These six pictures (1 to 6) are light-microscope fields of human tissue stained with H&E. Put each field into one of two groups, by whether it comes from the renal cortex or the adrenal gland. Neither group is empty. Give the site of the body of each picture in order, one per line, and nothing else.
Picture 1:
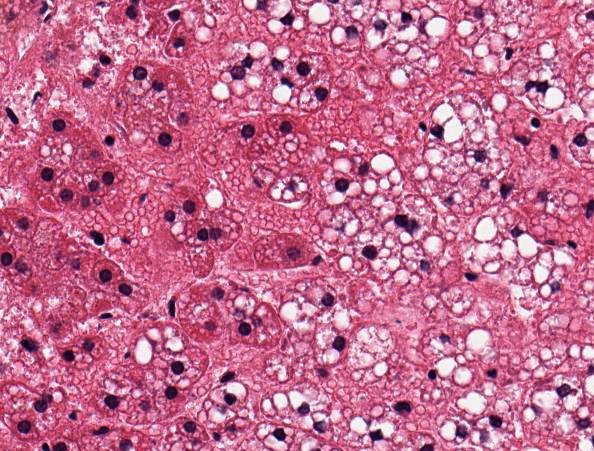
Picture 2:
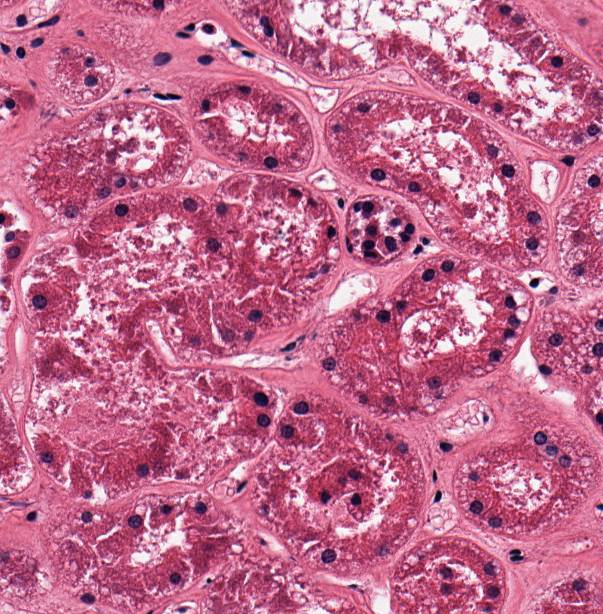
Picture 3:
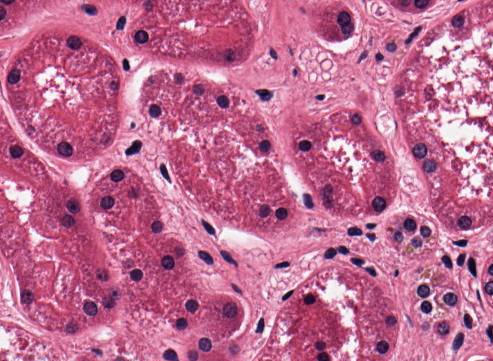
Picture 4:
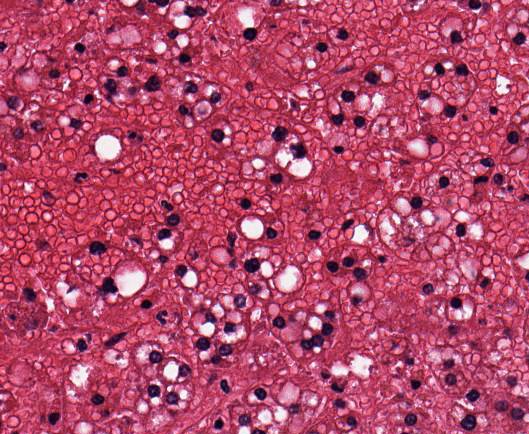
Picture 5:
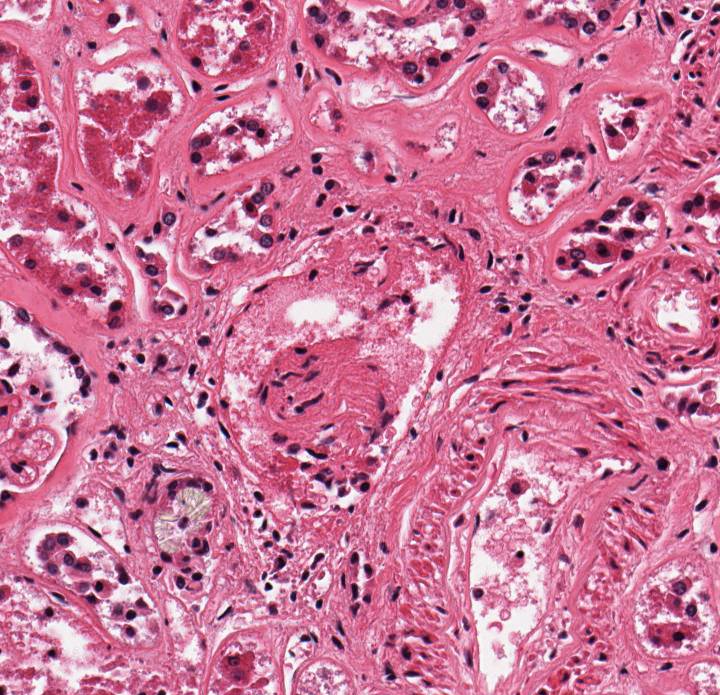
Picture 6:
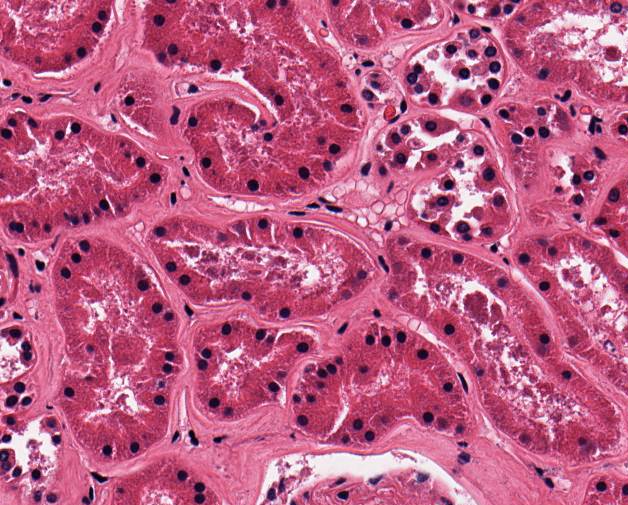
adrenal gland
renal cortex
renal cortex
adrenal gland
renal cortex
renal cortex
